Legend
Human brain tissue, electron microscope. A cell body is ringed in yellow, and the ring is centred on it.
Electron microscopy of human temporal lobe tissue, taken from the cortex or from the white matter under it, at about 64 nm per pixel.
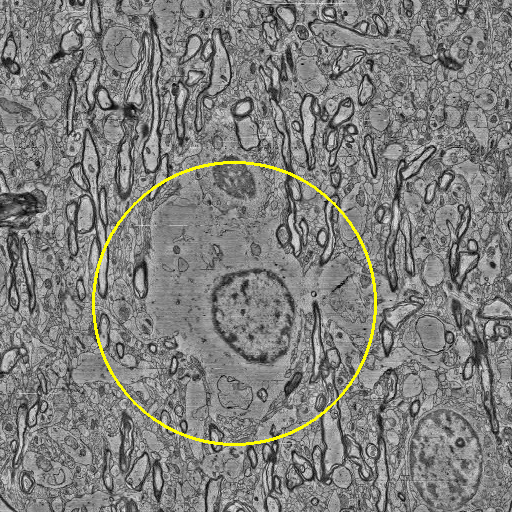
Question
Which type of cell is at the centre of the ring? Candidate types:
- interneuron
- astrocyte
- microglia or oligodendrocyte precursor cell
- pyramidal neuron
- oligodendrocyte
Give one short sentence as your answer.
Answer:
The yellow ring is centred here on an astrocyte.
